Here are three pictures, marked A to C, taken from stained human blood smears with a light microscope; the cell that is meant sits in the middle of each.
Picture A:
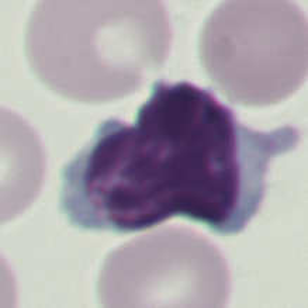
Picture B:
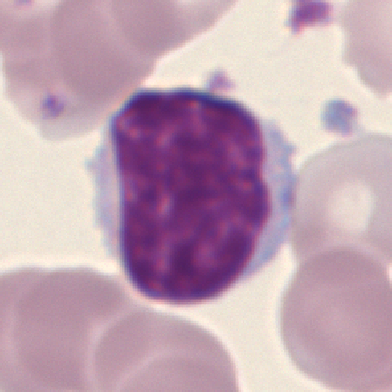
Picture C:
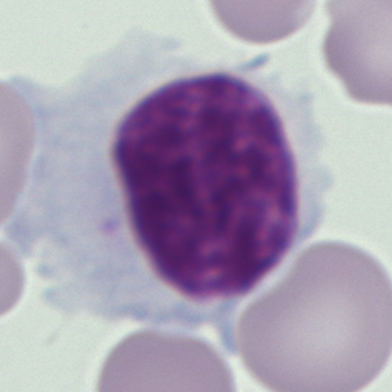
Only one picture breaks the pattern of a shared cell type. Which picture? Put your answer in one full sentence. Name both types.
Picture C is the odd one out: it shows a hairy cell, while the others show typical lymphocytes.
